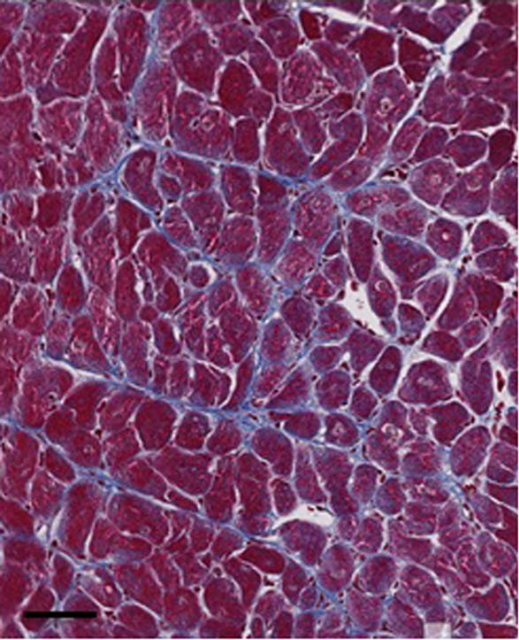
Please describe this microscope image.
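This is heart muscle with cardiomyocytes cut mostly in cross-section, showing interstitial fibrosis. The muscle fibres are polygonal to rounded profiles with red-purple cytoplasm and a single nucleus, often near the centre of the fibre. They are packed closely together, separated by narrow pale clefts. Fine blue-stained strands of collagen run between individual fibres and along thicker septa that divide the fibres into groups. A few small capillary spaces are visible between the fibres.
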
